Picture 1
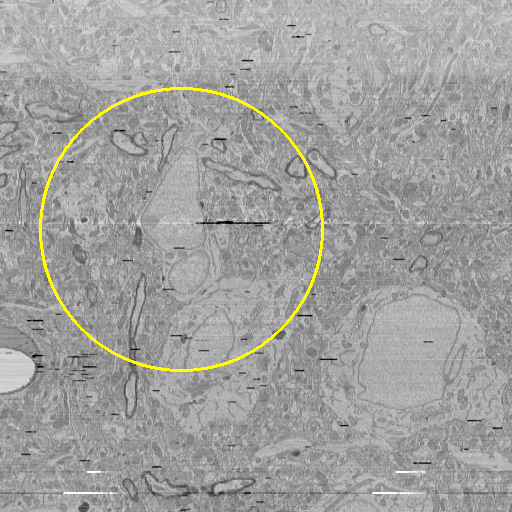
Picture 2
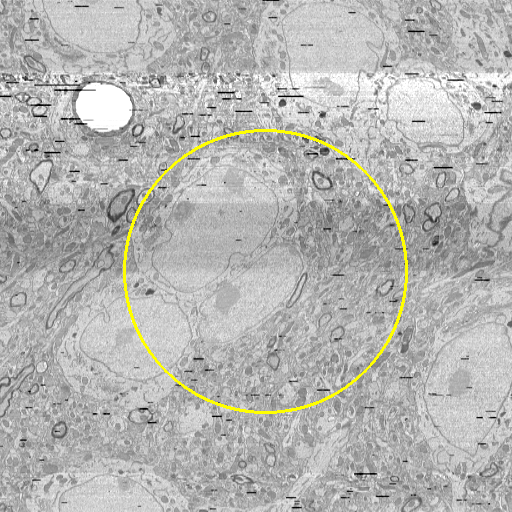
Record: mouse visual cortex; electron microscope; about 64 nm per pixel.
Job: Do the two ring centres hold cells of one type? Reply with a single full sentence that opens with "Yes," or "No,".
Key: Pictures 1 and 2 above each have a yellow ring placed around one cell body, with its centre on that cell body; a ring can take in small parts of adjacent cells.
Yes, the cells at the two ring centres are of one single type.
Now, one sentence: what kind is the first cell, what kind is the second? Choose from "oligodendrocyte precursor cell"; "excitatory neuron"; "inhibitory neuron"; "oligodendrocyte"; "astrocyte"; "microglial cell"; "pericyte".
Each of the two pictures has an oligodendrocyte precursor cell at the ring centre.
